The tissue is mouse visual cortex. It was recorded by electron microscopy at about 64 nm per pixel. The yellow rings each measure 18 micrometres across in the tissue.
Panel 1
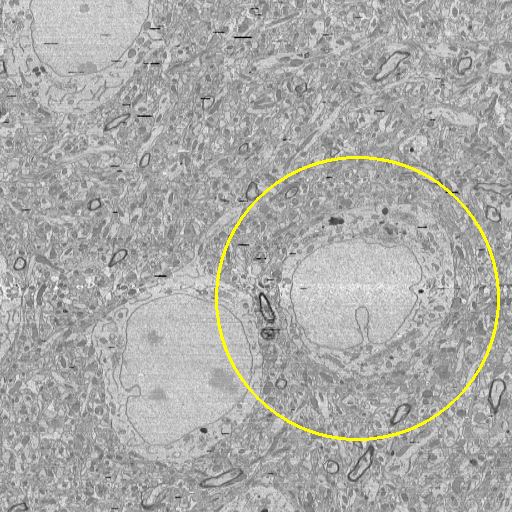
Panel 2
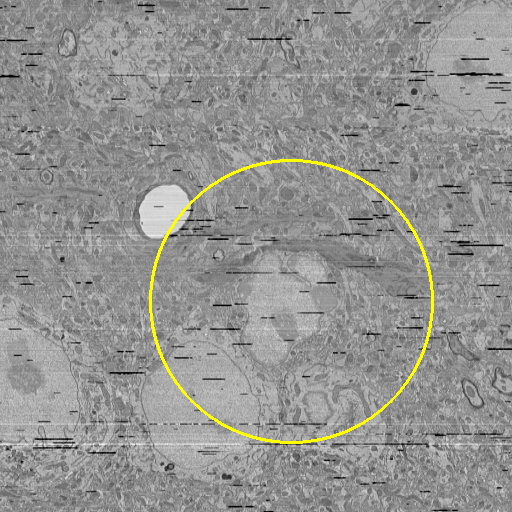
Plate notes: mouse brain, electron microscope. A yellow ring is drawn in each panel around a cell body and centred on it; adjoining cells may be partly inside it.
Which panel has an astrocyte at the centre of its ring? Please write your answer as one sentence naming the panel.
The ring in Panel 2 is centred on such a cell.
